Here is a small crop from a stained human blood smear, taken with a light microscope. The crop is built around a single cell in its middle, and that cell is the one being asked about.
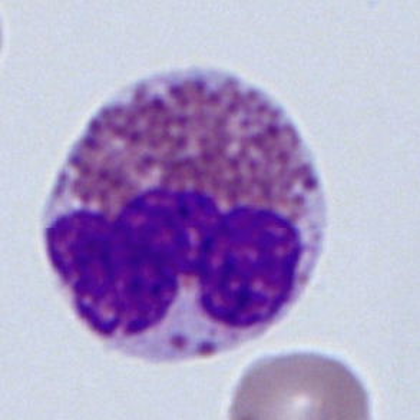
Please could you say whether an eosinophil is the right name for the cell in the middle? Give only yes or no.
yes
